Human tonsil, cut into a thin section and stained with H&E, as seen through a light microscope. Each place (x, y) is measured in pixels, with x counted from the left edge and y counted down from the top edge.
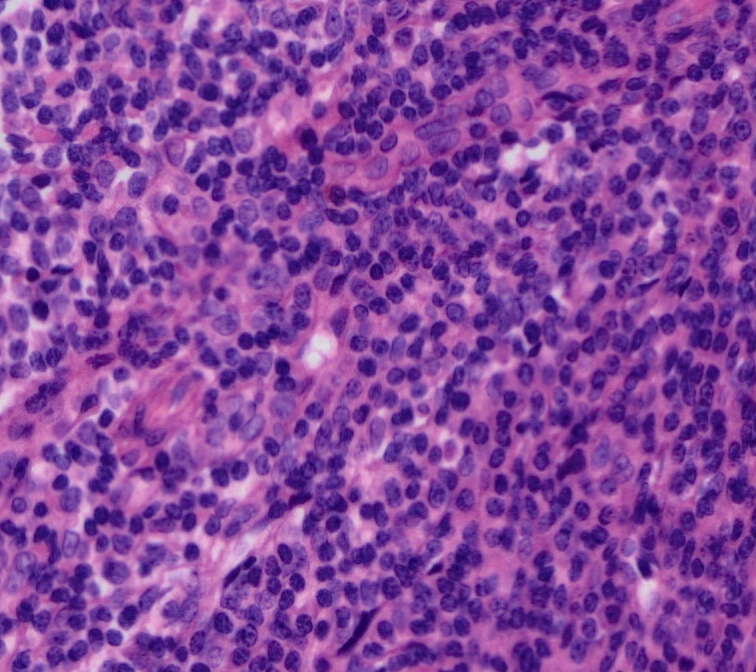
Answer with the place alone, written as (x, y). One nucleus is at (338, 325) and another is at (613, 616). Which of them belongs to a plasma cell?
(613, 616)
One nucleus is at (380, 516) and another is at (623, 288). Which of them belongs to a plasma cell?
(623, 288)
